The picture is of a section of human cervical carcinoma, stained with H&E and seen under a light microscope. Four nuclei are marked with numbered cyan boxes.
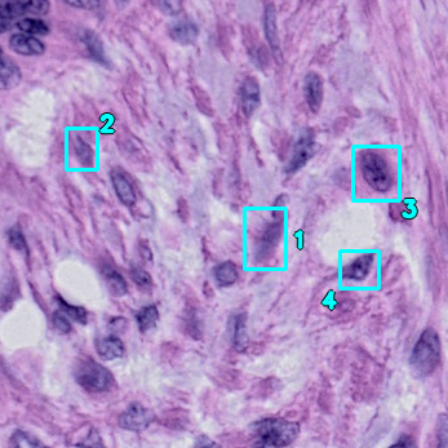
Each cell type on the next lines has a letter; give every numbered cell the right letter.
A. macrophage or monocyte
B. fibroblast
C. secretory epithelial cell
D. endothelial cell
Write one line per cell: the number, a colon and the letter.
1: B
2: B
3: A
4: B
